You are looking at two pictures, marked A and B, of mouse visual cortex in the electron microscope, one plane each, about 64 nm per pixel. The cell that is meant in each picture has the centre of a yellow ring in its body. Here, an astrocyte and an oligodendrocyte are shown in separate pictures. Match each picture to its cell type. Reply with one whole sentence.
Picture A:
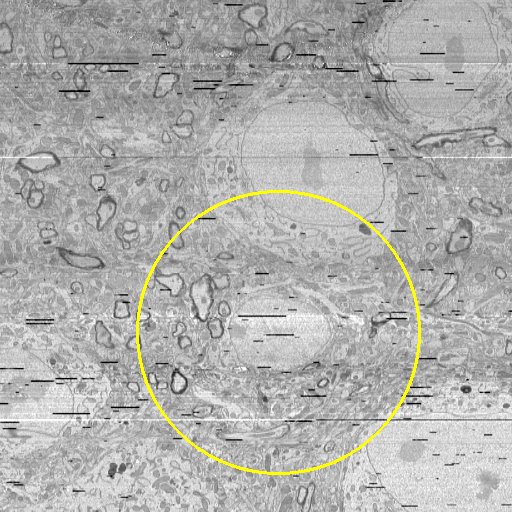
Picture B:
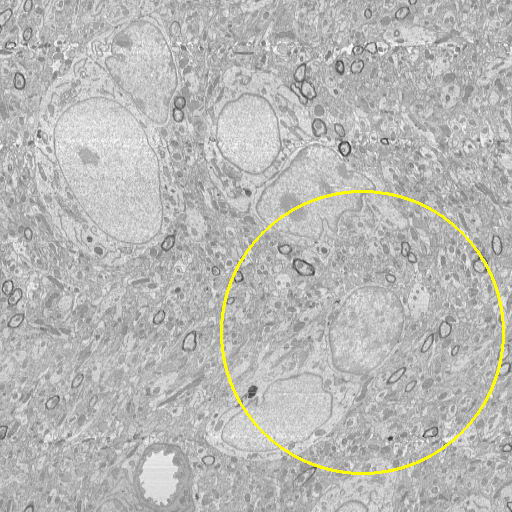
It is picture A that shows an astrocyte, and picture B that shows an oligodendrocyte.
